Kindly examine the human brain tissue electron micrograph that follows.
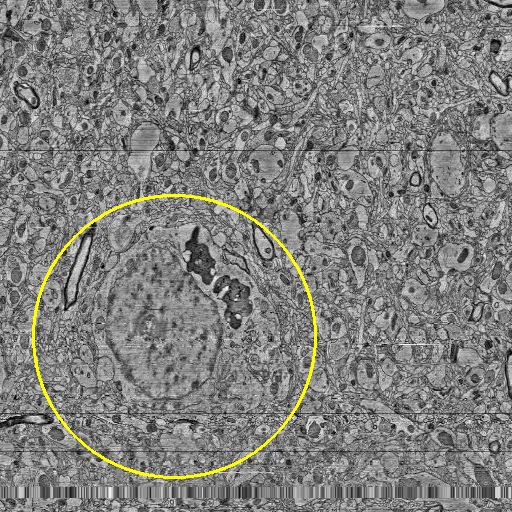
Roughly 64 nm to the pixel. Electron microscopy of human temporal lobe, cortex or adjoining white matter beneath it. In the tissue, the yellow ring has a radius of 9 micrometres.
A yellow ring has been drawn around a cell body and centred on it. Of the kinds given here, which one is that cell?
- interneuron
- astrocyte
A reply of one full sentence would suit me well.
The micrograph's ringed cell, the one at the ring's centre, is an interneuron.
